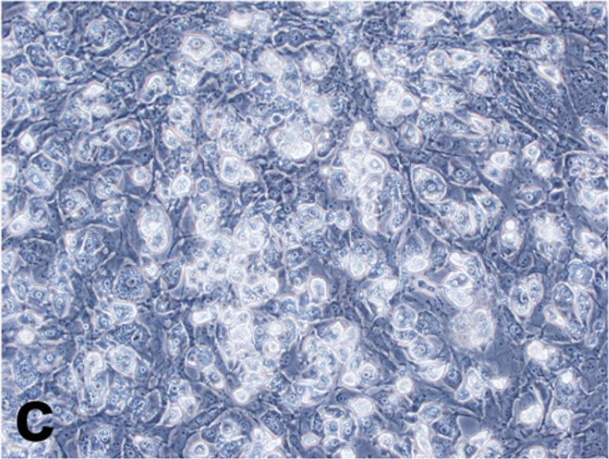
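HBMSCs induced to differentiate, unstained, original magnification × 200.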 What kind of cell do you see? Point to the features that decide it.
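Many rounded cells with bright, refractile cytoplasm. Small round droplets fill the cytoplasm of these cells. Flatter spindle-shaped cells lie between them. So: adipocytes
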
